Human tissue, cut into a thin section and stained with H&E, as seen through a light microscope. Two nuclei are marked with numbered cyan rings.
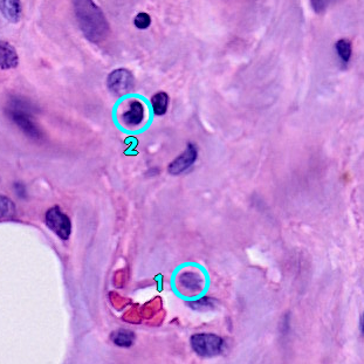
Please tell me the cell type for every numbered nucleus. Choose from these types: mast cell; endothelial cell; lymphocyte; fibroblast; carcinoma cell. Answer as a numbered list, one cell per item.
1. endothelial cell
2. lymphocyte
